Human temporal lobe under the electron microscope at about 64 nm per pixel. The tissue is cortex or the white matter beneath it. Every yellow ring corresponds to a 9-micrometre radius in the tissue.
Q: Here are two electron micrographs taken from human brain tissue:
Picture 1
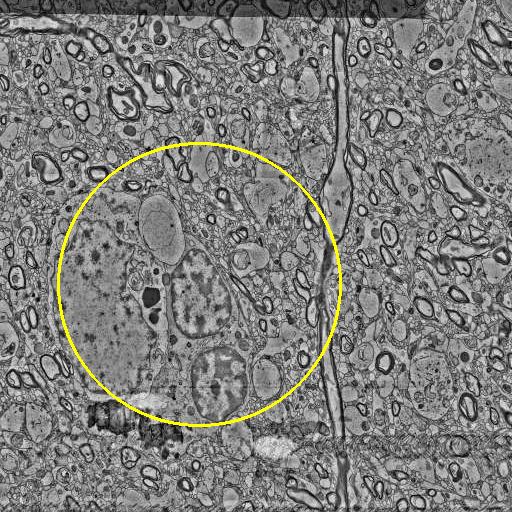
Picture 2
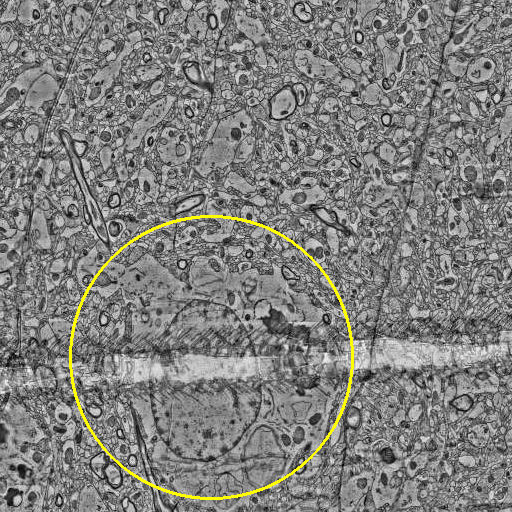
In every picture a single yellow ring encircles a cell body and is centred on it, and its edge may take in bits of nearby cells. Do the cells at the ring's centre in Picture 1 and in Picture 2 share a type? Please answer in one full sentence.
No, the cells at the ring's centre in Picture 1 and Picture 2 are of two types.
